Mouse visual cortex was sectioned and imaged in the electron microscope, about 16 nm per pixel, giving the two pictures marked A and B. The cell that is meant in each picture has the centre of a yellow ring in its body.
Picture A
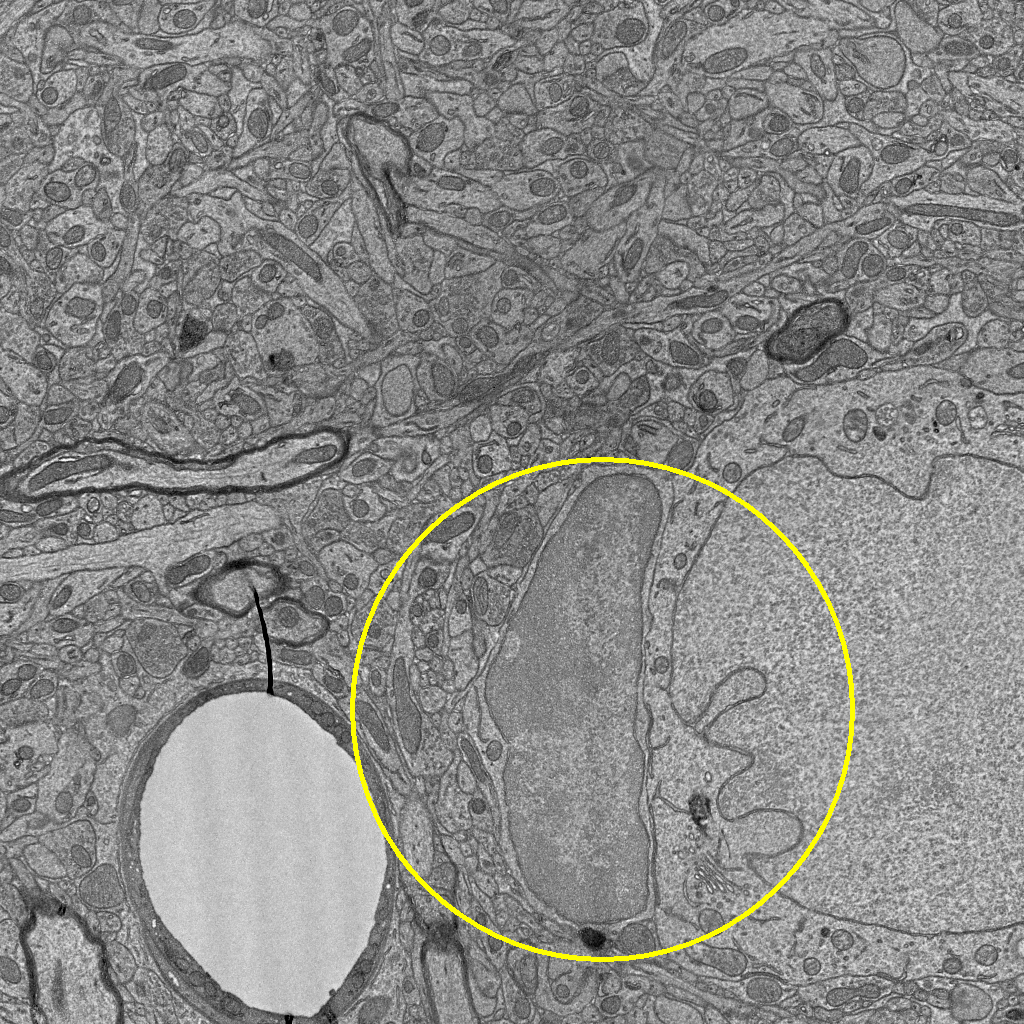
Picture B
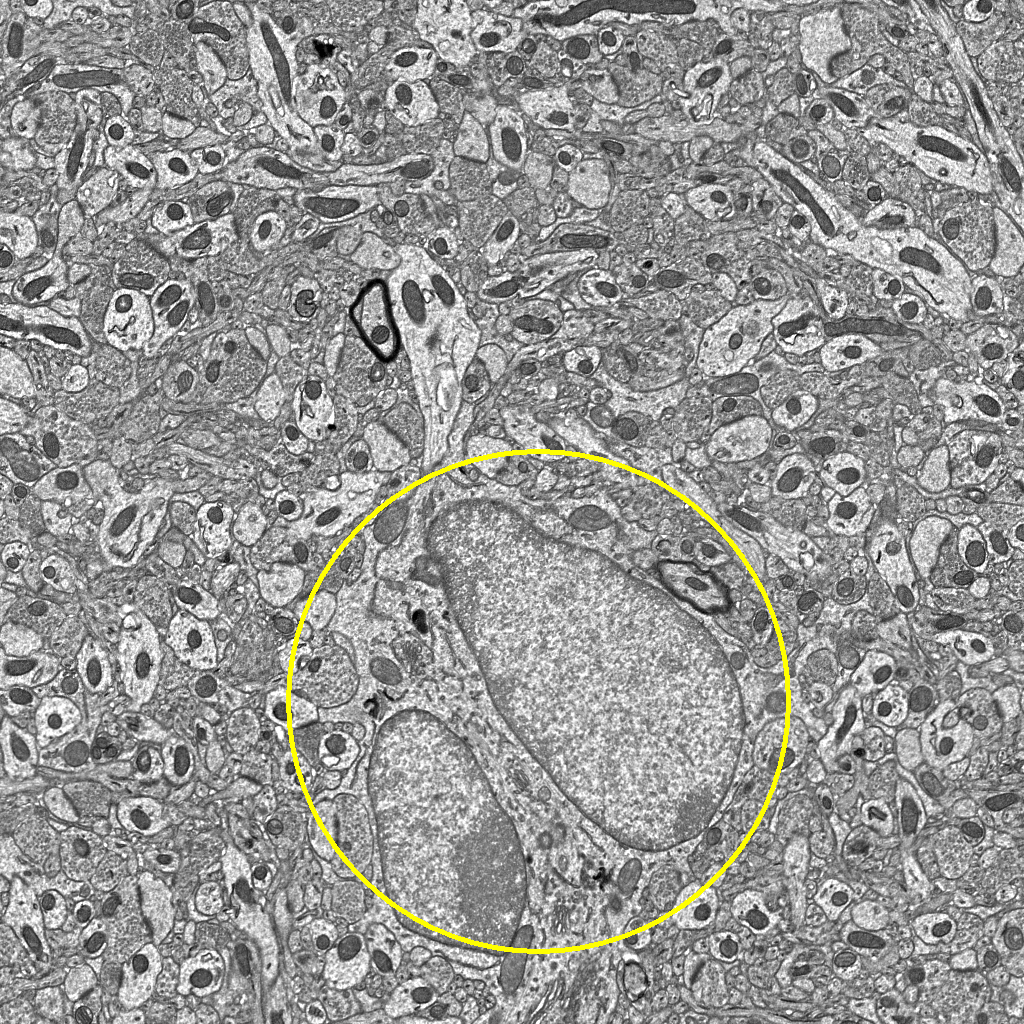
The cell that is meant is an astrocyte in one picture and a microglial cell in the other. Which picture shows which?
The cell in picture A is a microglial cell, and the one in picture B is an astrocyte.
